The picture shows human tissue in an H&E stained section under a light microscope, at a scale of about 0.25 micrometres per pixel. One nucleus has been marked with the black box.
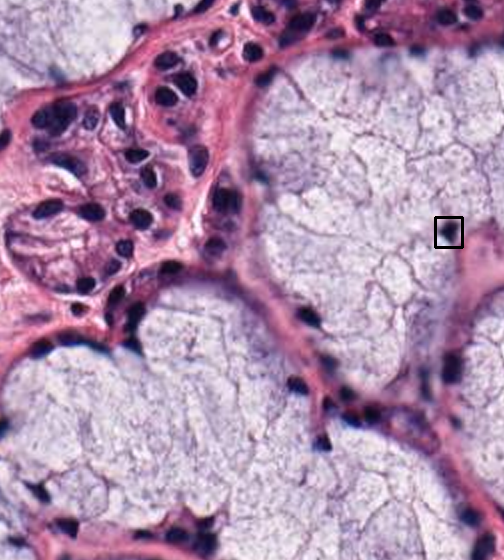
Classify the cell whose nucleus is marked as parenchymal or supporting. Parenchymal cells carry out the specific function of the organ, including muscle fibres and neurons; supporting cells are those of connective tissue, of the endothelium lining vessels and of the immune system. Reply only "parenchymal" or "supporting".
parenchymal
